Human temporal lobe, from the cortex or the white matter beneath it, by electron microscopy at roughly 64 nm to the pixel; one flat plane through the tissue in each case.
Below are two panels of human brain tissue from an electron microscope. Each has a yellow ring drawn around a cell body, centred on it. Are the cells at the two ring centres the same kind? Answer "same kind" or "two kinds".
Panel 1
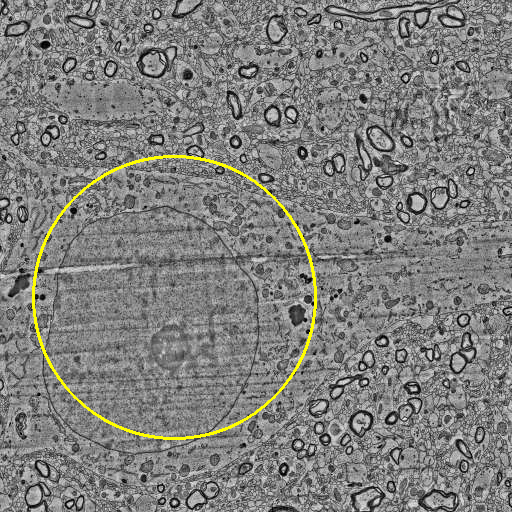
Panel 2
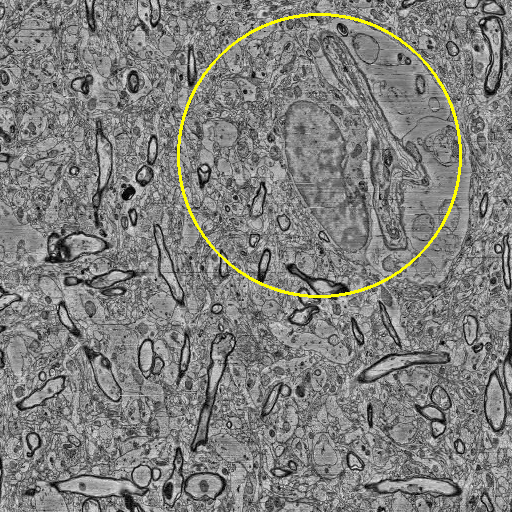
two kinds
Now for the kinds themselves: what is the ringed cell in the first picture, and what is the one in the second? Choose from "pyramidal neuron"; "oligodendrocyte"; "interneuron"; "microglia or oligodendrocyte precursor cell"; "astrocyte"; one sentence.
Here the first cell is a pyramidal neuron and the second cell is an oligodendrocyte.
